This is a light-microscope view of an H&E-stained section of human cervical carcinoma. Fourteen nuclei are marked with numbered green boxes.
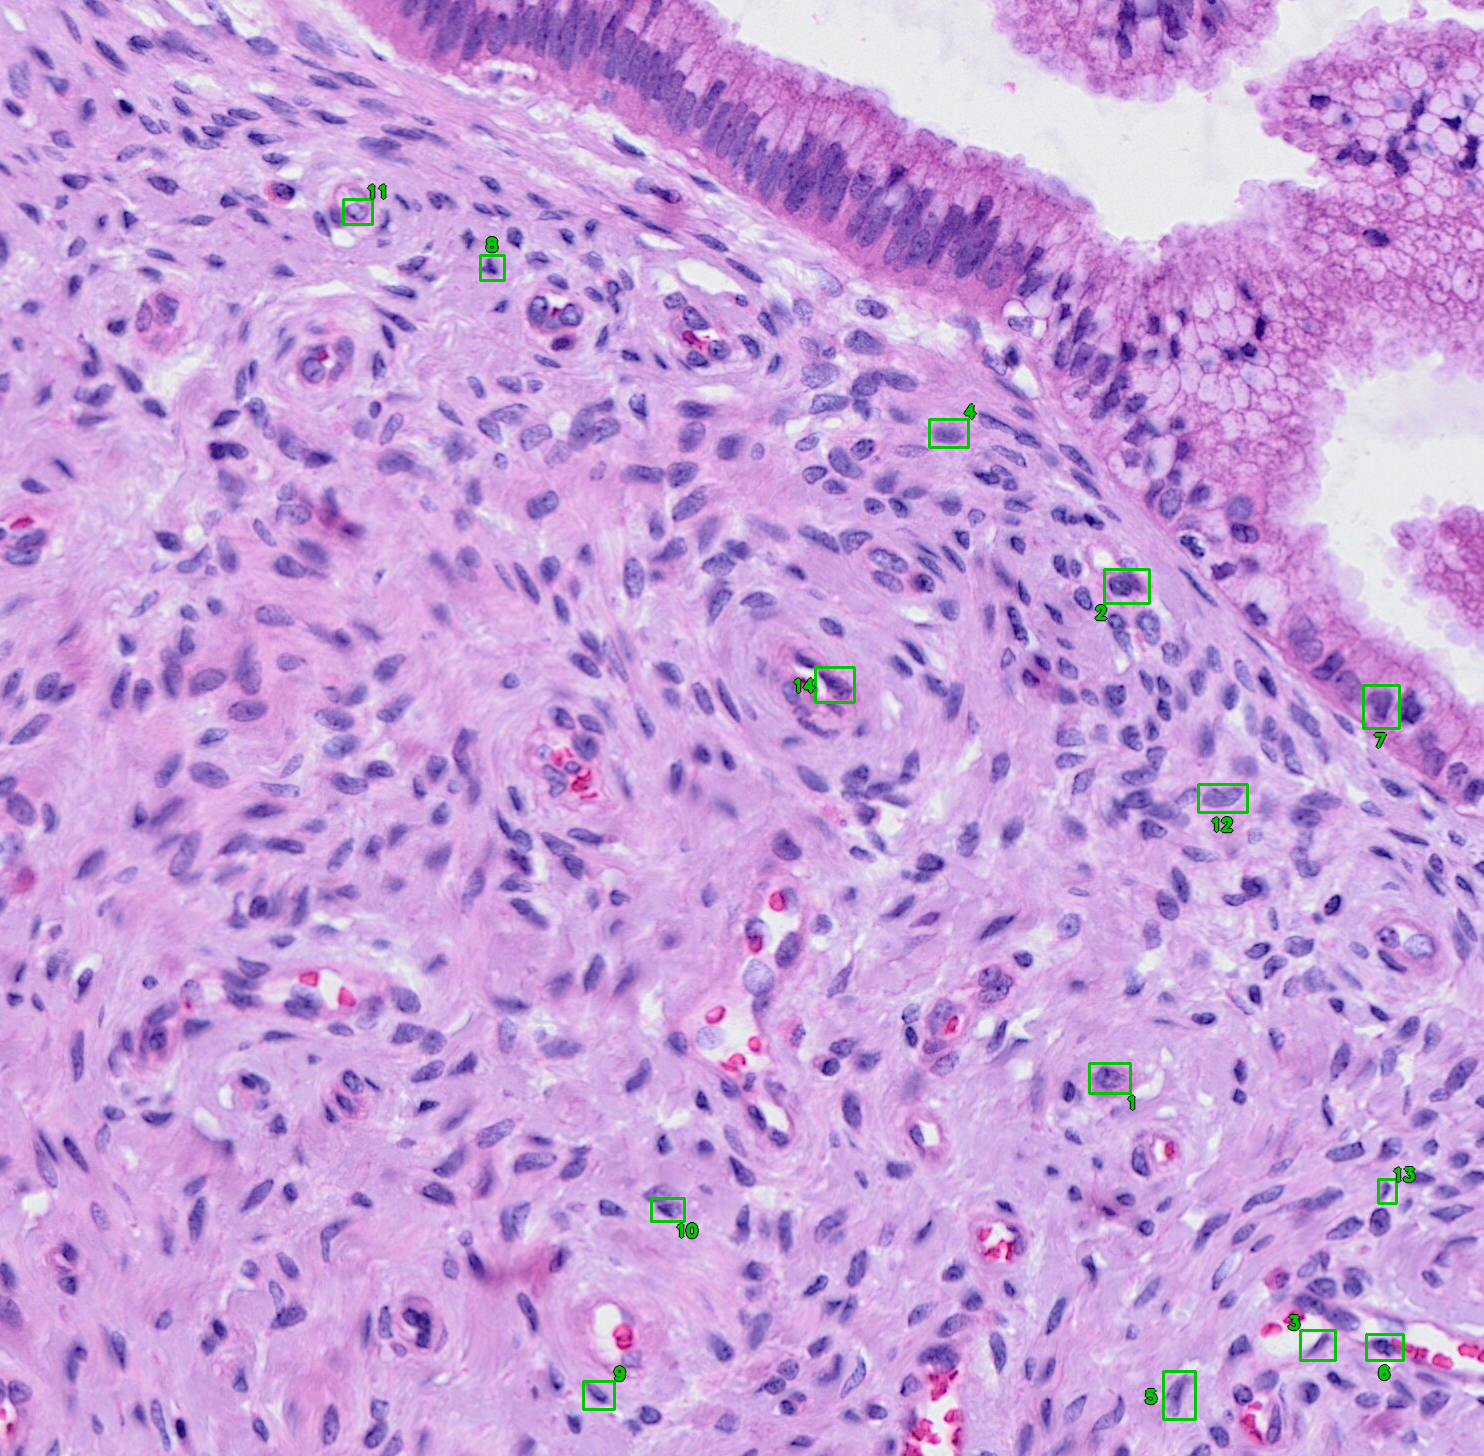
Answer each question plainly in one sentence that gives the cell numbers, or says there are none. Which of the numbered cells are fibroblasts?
Cells that were given the numbers 4, 5, 8, 9, 10, 12 and 13 are fibroblasts.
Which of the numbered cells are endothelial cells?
On this slide, the cells numbered 1, 2, 3, 6, 11 and 14 are endothelial cells.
